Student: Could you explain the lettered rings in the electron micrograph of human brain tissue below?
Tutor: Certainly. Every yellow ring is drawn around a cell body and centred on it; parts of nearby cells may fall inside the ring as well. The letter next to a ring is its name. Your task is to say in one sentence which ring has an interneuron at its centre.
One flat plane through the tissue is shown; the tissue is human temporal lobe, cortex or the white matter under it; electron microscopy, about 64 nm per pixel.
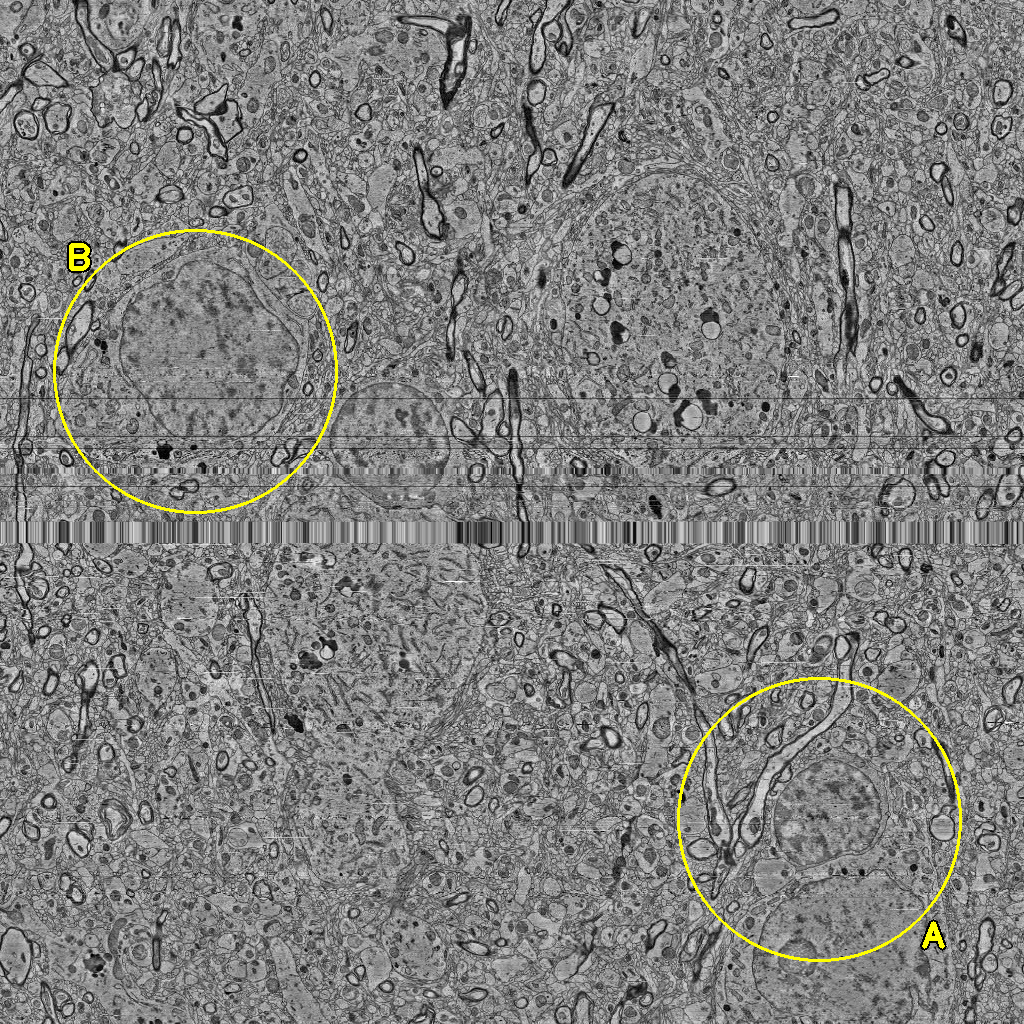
The cell at the centre of ring B is the one.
